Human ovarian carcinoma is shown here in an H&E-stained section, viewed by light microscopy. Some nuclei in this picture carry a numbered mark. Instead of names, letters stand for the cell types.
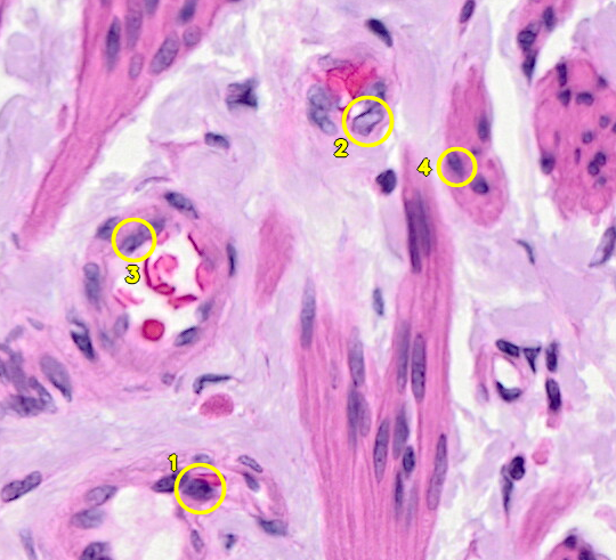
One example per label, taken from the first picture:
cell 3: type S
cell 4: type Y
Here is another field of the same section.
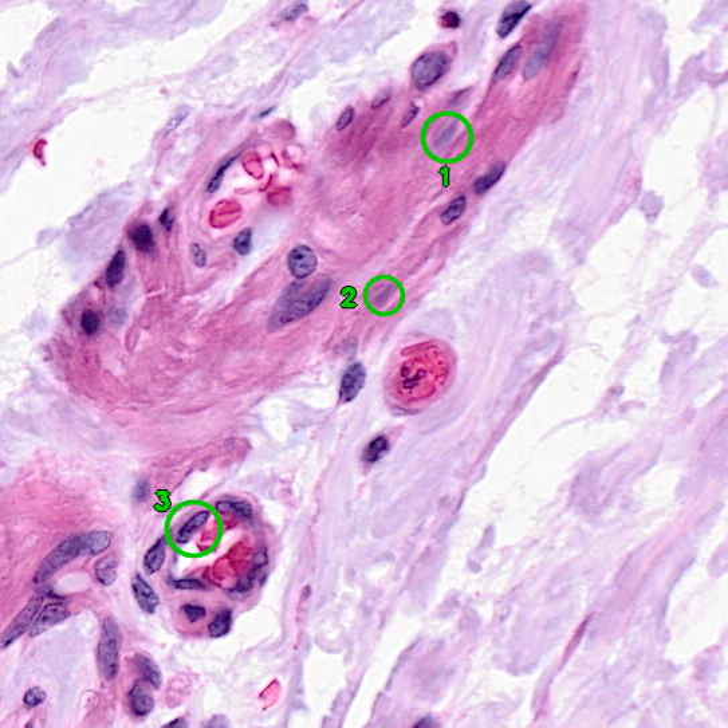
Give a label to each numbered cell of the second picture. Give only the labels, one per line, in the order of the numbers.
type Y
type Y
type S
